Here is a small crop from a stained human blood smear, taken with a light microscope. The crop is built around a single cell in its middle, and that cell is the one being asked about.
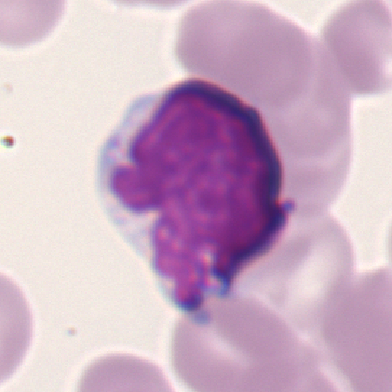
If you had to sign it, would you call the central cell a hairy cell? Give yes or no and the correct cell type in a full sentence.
No, at the centre of this crop is found a large granular lymphocyte instead of a hairy cell.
